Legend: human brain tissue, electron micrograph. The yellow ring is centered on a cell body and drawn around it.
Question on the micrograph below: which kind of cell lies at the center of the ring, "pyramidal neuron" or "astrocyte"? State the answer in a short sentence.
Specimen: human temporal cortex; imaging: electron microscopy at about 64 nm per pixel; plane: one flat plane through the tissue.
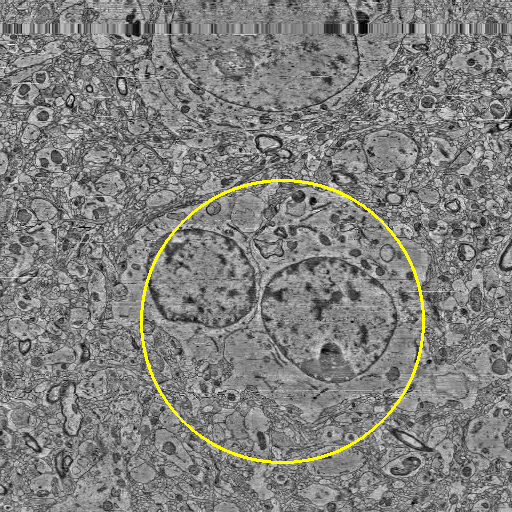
At the center of the ring lies an astrocyte.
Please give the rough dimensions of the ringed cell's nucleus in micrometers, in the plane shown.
Approximately 8 micrometres across in this plane.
